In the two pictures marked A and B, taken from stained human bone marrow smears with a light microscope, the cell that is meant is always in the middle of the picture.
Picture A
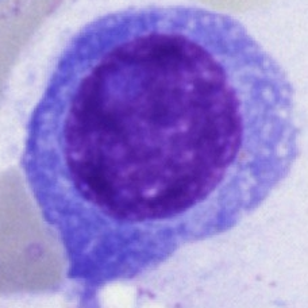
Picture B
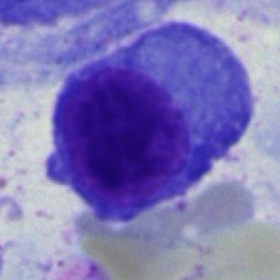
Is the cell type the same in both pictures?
yes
